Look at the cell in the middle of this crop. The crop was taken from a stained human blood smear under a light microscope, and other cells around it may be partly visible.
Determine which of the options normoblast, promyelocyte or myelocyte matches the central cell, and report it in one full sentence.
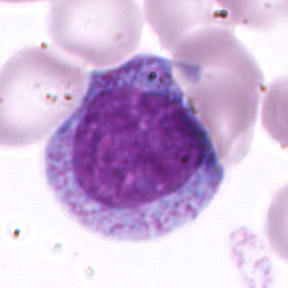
The cell at the middle of the crop is recognized as a promyelocyte.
